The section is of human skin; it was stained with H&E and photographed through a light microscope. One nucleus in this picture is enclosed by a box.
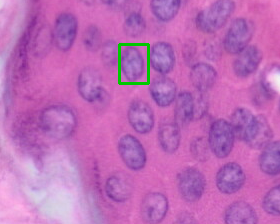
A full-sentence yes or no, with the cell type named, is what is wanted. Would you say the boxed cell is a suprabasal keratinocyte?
Yes, a suprabasal keratinocyte is the identity of the boxed cell in this section.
